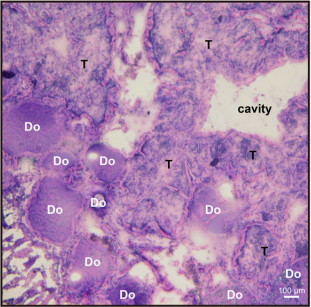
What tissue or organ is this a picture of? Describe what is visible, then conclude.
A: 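Ovotestis. Large round purple follicle-like bodies lie scattered in the section. Looser pink-purple tissue lies between the round bodies.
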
